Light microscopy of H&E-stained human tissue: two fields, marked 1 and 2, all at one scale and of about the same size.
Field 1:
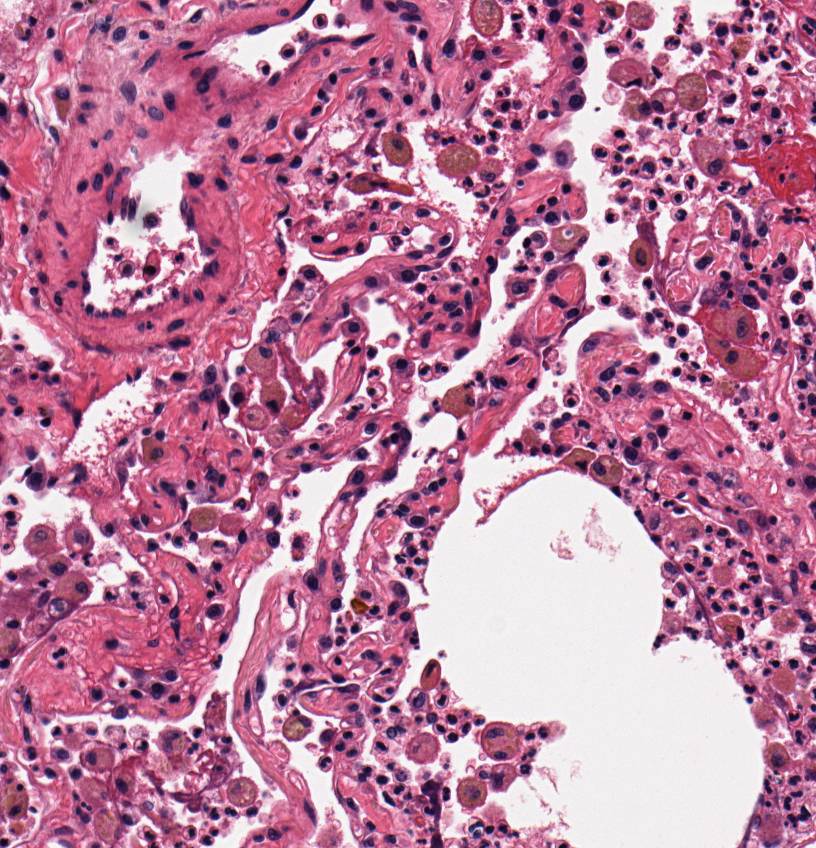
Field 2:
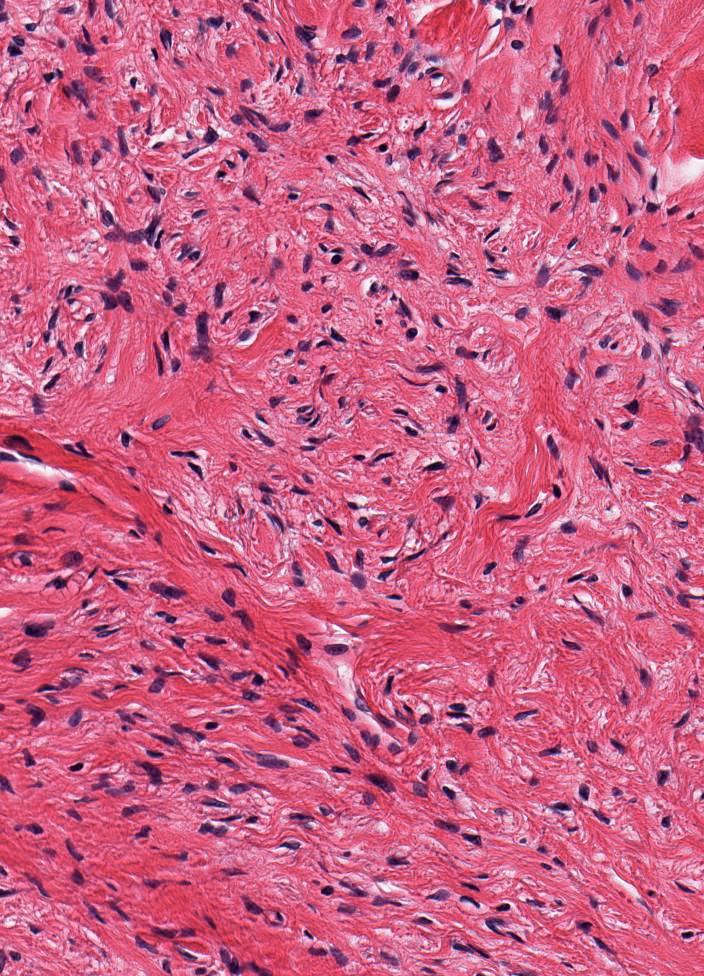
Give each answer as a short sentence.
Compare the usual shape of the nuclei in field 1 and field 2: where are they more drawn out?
On the whole the nuclei of field 2 are more drawn out than those of field 1.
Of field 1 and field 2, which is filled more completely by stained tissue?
Field 2 has less white space.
